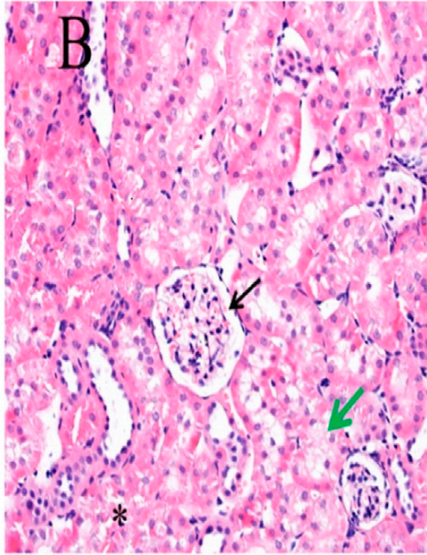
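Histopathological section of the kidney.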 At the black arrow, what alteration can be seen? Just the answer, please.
Atrophic glomerulus and extensive capsular space.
